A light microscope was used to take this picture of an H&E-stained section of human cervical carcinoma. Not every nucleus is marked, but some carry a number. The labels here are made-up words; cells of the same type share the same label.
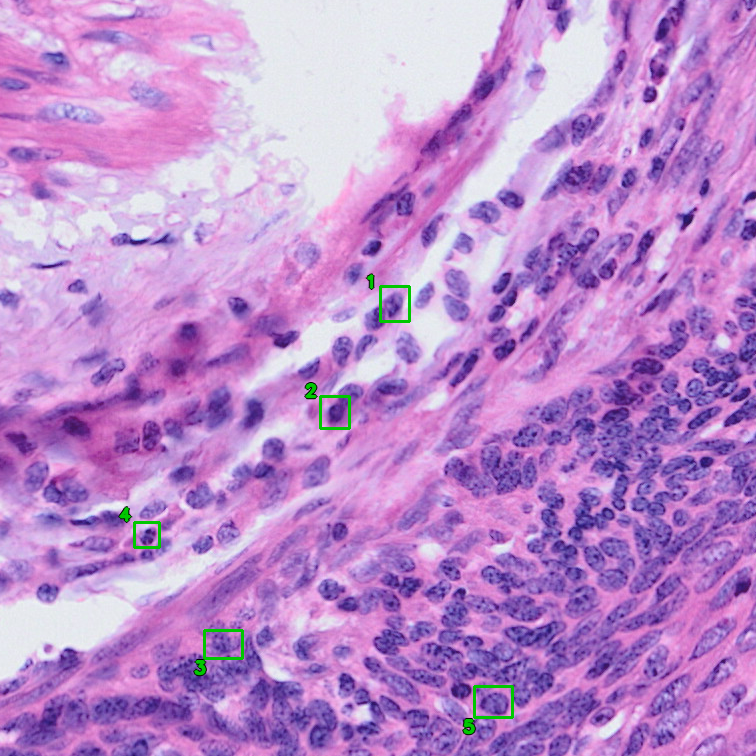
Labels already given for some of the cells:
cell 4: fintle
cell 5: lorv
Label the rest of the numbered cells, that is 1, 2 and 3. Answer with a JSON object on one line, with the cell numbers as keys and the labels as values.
{"1": "fintle", "2": "fintle", "3": "lorv"}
